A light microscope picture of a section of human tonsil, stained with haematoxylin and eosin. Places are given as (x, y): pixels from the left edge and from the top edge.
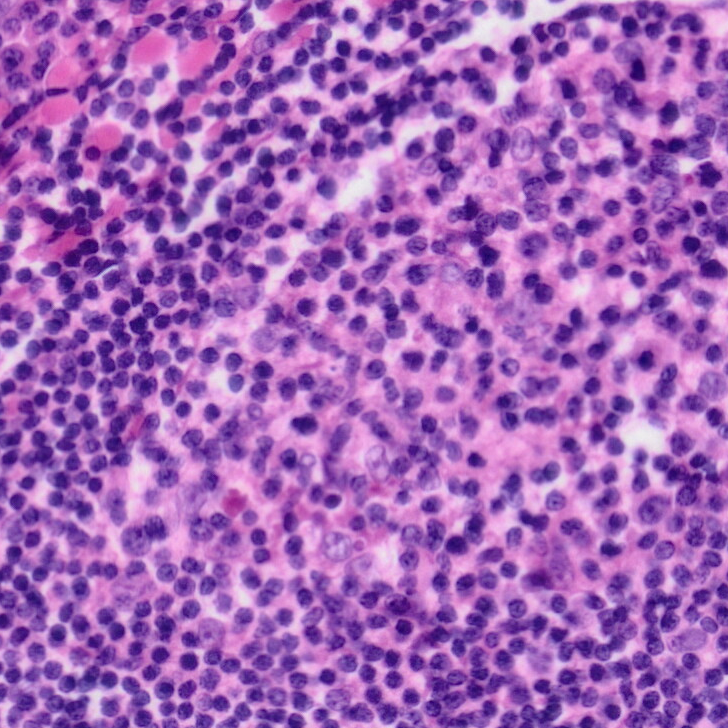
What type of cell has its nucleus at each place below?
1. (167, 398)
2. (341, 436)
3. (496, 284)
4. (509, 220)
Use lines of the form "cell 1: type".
cell 1: small lymphocyte
cell 2: proliferating B cell
cell 3: proliferating B cell
cell 4: proliferating B cell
